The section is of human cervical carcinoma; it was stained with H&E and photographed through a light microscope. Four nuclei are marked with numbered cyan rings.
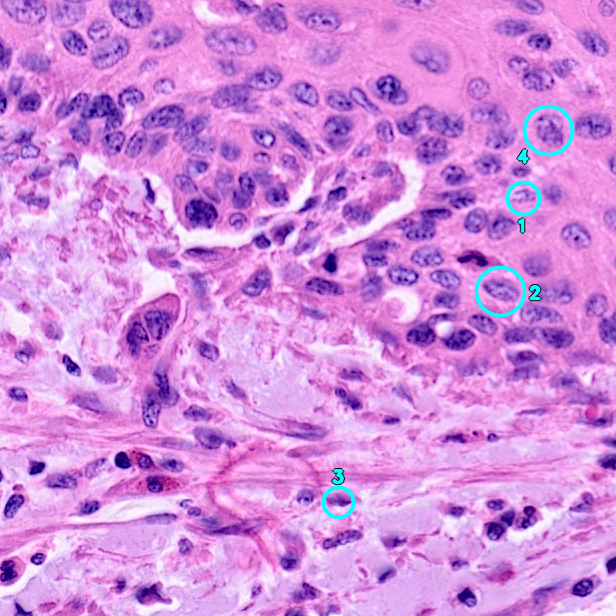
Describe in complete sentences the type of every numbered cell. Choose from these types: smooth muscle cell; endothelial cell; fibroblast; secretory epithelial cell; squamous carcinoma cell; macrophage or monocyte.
Cells 1, 2 and 4 are squamous carcinoma cells. Cell 3 is a fibroblast.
